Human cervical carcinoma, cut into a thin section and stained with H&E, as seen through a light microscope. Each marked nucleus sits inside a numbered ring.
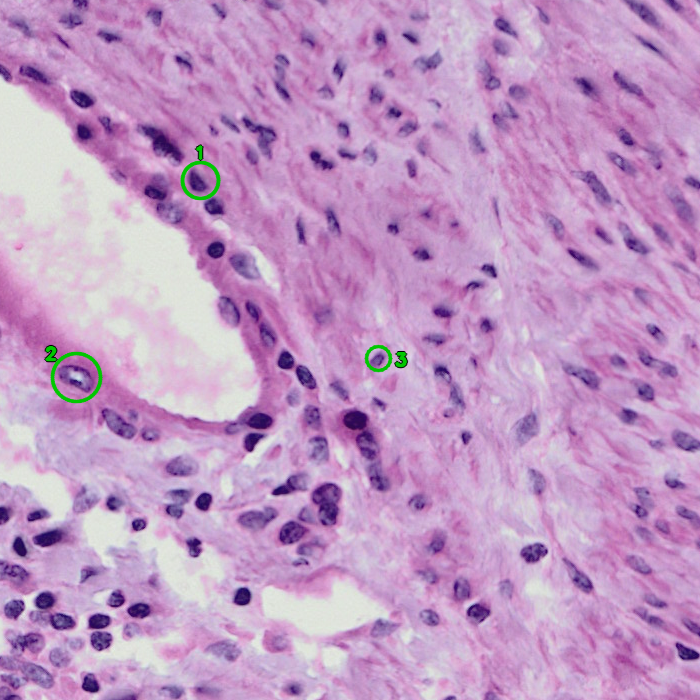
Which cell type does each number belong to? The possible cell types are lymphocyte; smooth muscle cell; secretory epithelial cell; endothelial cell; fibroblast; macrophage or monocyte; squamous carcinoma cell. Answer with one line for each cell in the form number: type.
1: lymphocyte
2: endothelial cell
3: smooth muscle cell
